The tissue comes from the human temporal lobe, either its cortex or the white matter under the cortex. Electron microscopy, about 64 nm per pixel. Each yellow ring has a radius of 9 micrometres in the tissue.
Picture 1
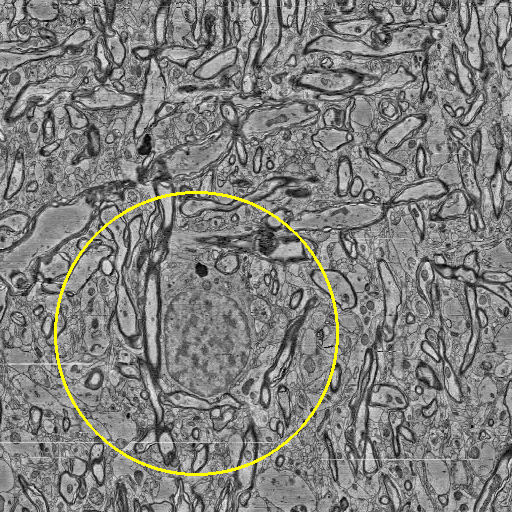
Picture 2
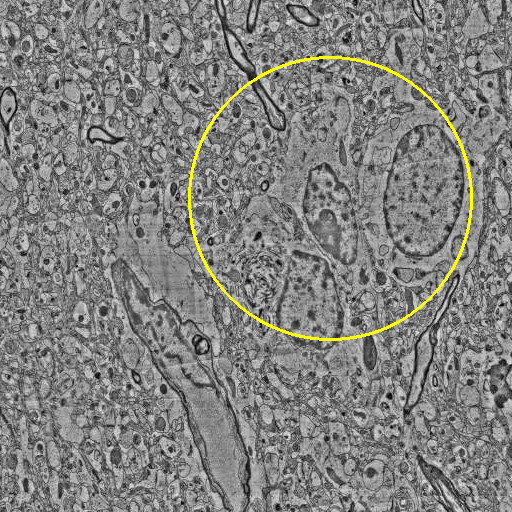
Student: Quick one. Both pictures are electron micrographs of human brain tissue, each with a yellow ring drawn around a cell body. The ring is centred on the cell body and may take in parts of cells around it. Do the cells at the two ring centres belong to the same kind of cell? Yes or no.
no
